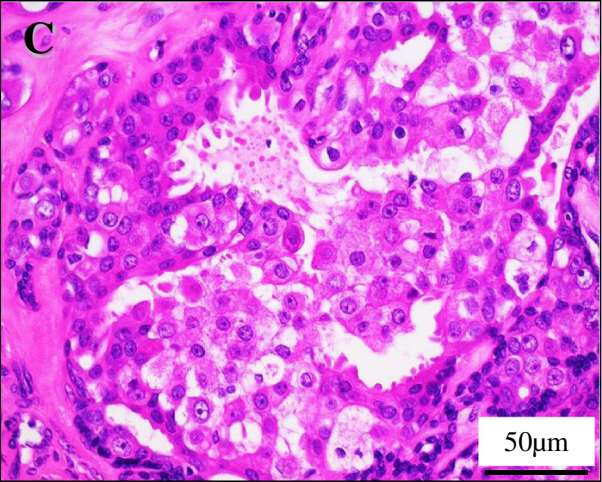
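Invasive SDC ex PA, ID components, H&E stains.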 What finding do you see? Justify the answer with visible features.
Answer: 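Active “decapitation” secretion. Luminal cells bear rounded pink apical cytoplasmic blebs projecting into the lumen. Pale detached cytoplasmic fragments lie in the lumen next to the cell apices.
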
